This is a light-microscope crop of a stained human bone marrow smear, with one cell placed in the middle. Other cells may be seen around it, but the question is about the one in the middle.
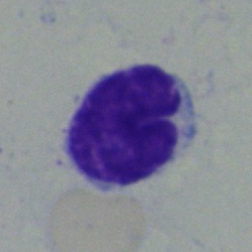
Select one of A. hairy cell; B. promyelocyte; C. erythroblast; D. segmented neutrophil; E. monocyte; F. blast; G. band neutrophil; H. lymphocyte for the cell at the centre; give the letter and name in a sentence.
Option H is accurate; the centrally placed cell is a lymphocyte.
